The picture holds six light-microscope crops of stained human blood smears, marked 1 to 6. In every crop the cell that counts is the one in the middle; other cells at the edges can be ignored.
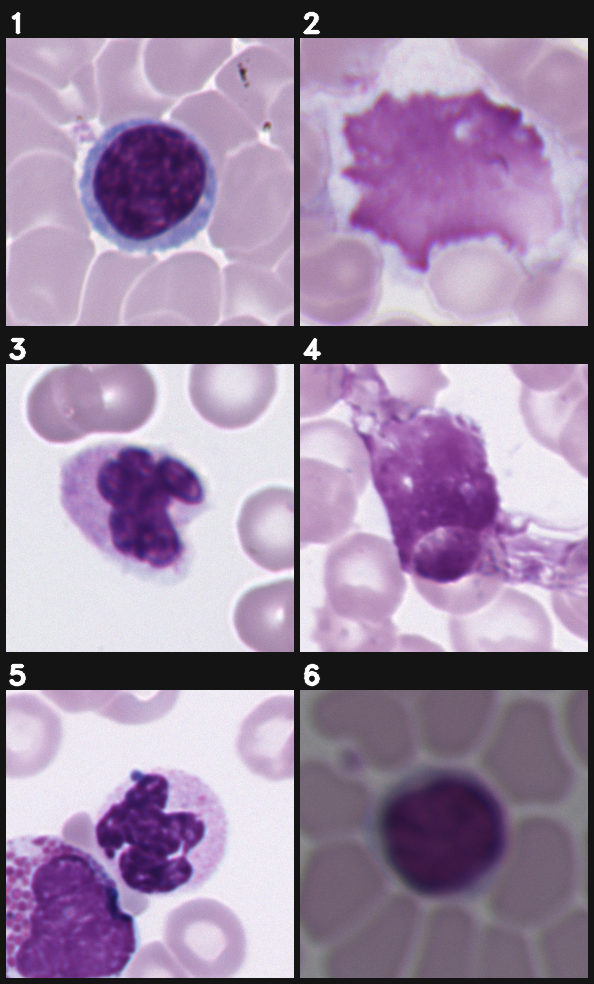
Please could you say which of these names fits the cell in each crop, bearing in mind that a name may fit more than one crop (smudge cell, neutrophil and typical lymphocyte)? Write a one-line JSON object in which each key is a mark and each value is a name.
{"1": "typical lymphocyte", "2": "smudge cell", "3": "neutrophil", "4": "smudge cell", "5": "neutrophil", "6": "typical lymphocyte"}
